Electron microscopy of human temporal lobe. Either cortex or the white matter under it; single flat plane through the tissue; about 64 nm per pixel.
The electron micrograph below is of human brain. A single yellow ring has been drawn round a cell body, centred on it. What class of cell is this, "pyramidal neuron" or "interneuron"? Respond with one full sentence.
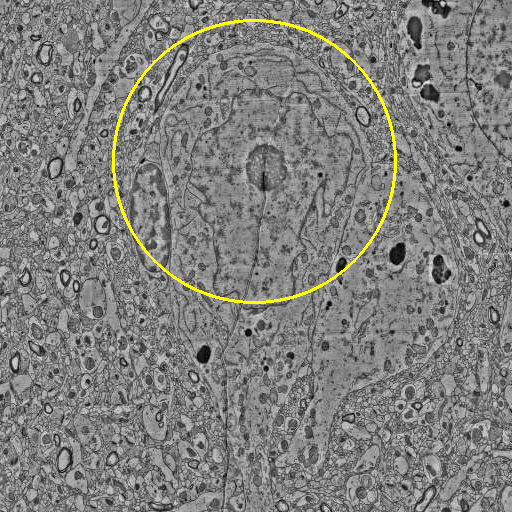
In the micrograph, the cell centred inside the yellow ring is an interneuron.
